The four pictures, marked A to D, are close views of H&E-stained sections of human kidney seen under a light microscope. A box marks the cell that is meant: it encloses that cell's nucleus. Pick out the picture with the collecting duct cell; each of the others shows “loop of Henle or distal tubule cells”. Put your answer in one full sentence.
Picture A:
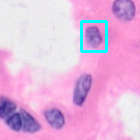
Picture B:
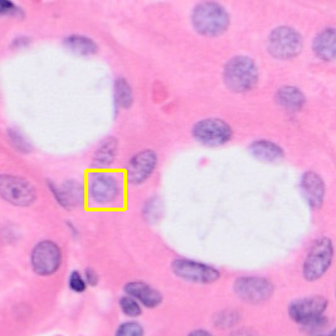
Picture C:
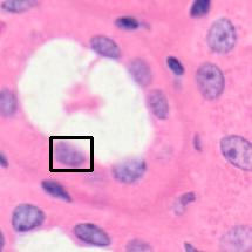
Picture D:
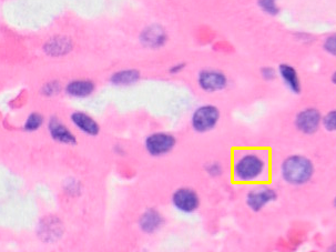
It is picture B that shows the collecting duct cell.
